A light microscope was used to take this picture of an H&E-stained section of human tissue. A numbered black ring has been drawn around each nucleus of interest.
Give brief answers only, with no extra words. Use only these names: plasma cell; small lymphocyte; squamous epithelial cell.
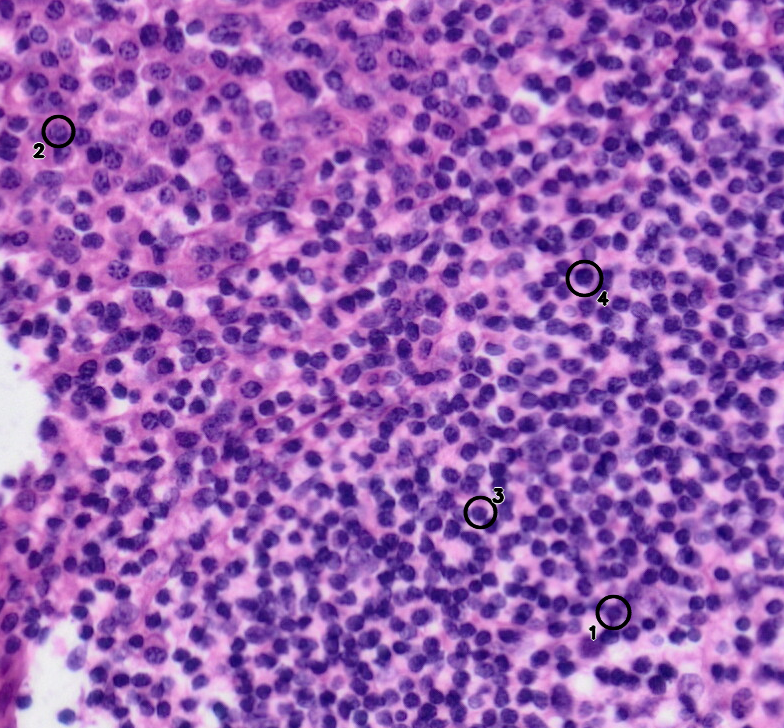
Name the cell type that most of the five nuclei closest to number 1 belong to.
small lymphocyte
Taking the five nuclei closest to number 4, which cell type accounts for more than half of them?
small lymphocyte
